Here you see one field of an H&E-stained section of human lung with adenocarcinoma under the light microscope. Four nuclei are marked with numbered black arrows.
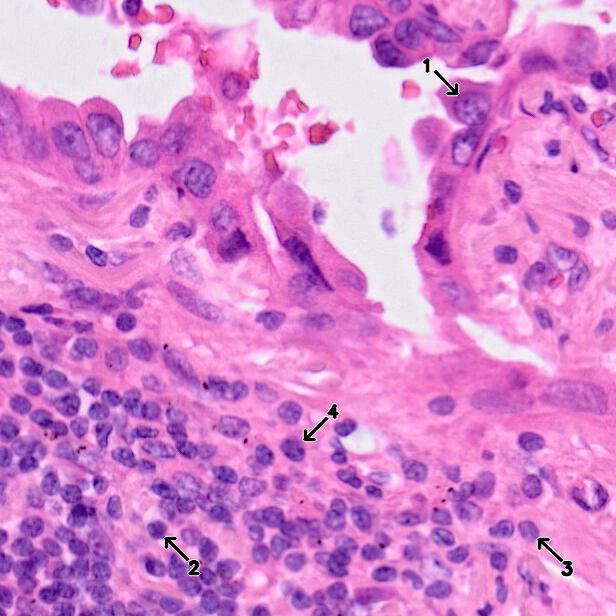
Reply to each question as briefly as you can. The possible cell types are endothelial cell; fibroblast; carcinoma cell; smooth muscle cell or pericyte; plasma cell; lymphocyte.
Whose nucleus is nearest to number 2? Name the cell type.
lymphocyte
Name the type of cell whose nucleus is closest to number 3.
lymphocyte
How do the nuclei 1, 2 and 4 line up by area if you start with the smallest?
2, 4, 1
